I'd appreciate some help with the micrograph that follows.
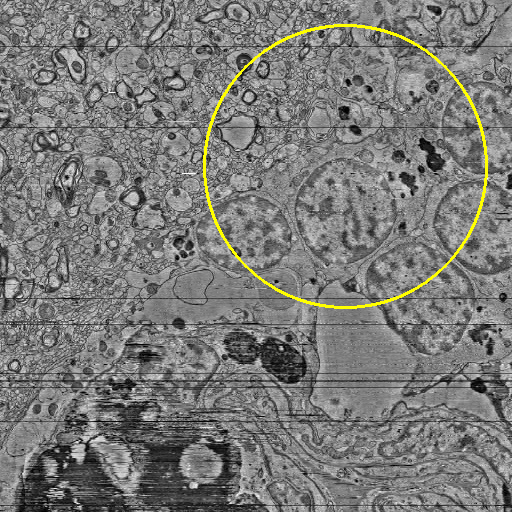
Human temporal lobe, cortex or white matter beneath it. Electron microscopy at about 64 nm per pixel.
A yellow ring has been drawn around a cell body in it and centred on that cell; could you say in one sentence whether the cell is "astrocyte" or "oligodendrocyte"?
It is an oligodendrocyte at the centre of the ring.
